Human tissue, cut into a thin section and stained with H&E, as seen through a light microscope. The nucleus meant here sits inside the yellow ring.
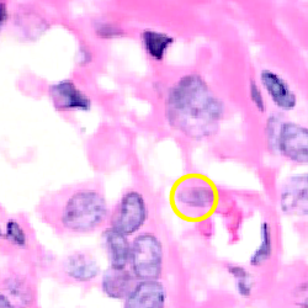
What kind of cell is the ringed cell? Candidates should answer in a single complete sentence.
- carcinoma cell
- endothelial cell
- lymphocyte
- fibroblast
Considered by cell type, the ringed cell is an endothelial cell.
